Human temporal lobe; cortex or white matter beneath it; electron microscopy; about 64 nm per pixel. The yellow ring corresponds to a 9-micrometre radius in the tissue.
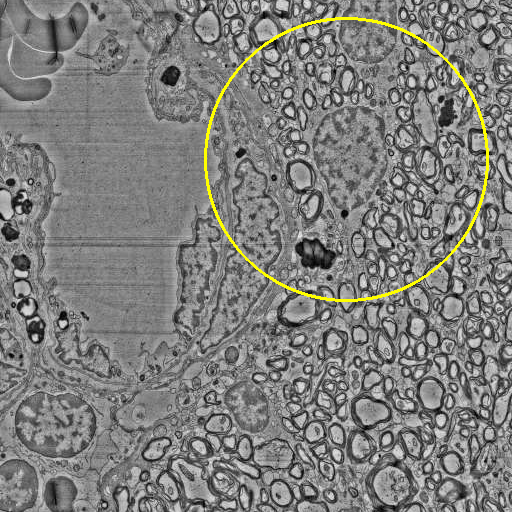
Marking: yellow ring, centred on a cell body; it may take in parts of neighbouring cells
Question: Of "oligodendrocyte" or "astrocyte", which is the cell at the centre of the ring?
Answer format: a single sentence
The ring surrounds the body of an oligodendrocyte.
